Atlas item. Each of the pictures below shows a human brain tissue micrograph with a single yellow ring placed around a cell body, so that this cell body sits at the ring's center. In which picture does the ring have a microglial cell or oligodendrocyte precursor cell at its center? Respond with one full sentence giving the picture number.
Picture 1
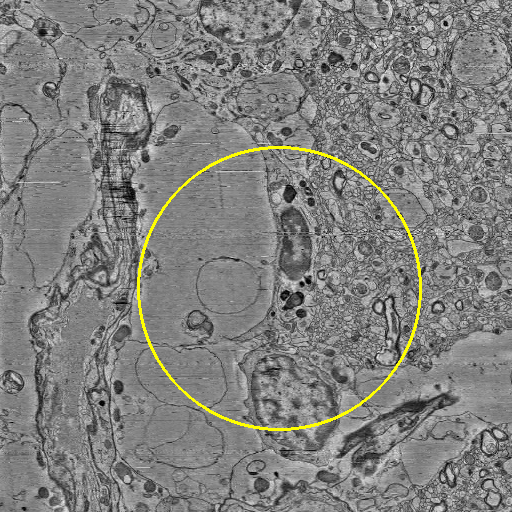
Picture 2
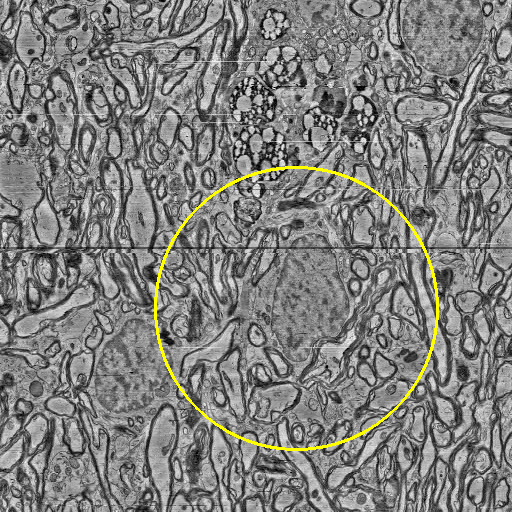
The cell at the ring's center that fits lies in picture 1.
